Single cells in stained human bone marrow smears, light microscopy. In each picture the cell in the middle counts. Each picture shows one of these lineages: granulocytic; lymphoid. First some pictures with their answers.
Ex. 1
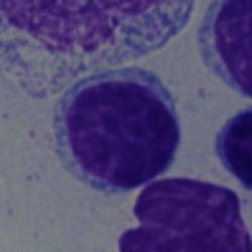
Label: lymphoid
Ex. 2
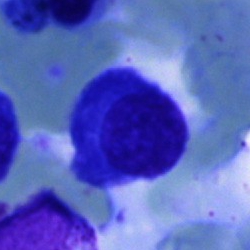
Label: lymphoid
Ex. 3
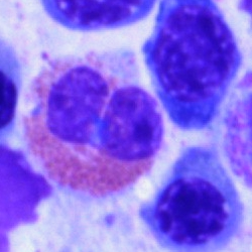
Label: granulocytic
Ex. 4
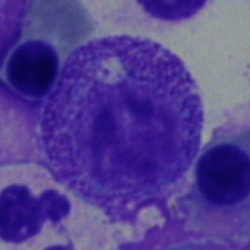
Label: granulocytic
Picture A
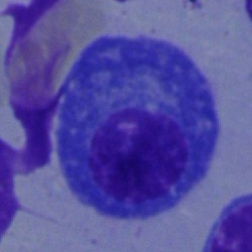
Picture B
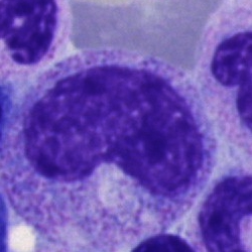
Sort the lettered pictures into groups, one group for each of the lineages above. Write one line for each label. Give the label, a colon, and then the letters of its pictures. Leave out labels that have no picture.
granulocytic: B
lymphoid: A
